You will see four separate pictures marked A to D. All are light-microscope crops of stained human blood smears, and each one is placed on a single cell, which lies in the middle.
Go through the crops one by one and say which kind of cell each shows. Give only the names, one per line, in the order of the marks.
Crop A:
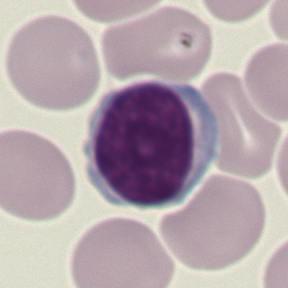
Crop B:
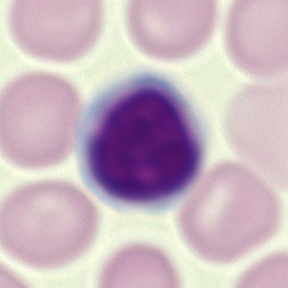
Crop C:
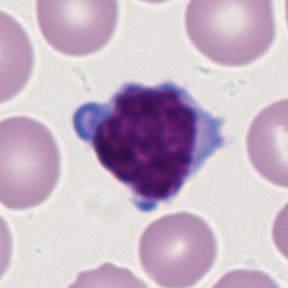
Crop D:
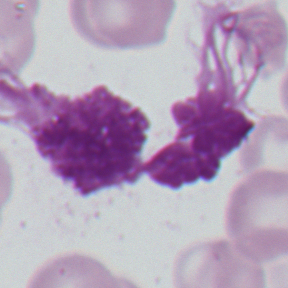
typical lymphocyte
typical lymphocyte
typical lymphocyte
smudge cell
